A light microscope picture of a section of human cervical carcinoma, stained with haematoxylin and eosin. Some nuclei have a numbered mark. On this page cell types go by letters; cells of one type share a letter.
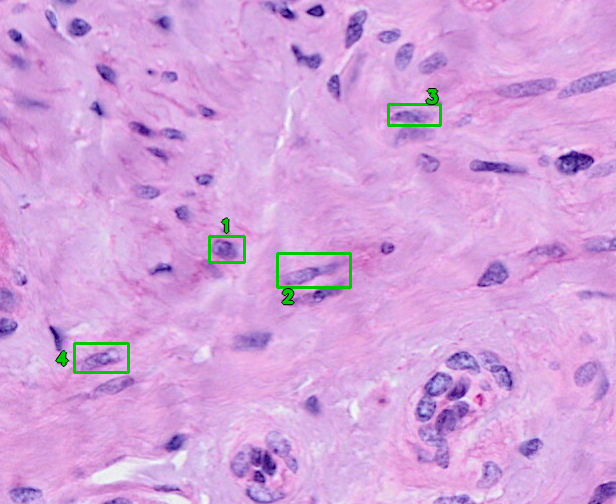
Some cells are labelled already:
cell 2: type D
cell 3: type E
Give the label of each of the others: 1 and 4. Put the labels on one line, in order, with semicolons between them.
type D; type D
